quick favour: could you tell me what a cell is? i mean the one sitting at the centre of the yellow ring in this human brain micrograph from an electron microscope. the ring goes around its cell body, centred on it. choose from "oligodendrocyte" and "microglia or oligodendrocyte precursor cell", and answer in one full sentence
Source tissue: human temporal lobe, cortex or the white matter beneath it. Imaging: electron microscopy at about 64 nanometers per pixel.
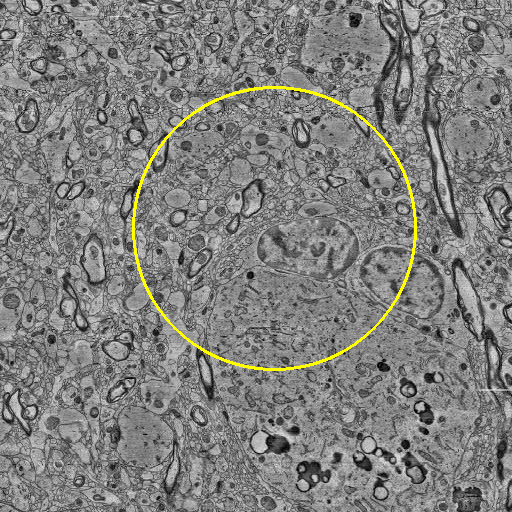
That's a microglial cell or oligodendrocyte precursor cell, the cell sitting at the centre of the yellow ring.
